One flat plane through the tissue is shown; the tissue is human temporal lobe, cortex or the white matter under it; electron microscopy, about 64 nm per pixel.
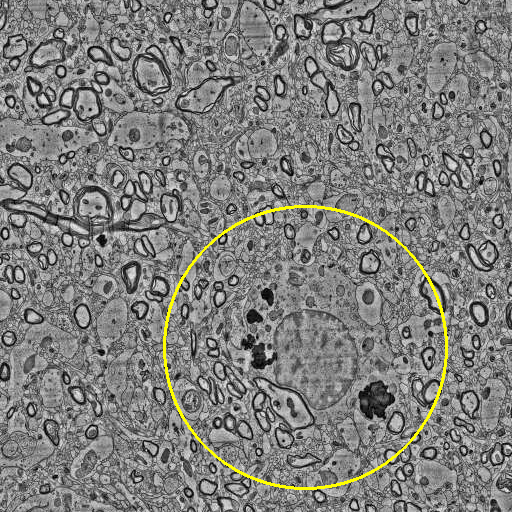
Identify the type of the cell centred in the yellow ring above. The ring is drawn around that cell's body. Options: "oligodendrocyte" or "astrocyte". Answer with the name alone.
oligodendrocyte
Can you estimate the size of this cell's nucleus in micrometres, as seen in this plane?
The ringed cell's nucleus is about 6 micrometres across in this plane.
